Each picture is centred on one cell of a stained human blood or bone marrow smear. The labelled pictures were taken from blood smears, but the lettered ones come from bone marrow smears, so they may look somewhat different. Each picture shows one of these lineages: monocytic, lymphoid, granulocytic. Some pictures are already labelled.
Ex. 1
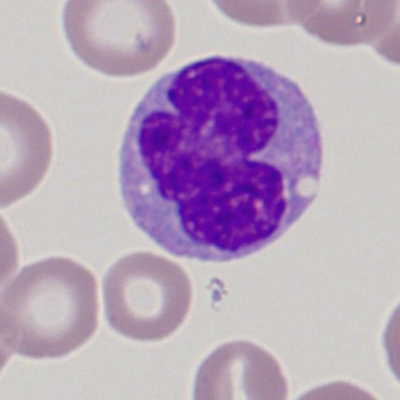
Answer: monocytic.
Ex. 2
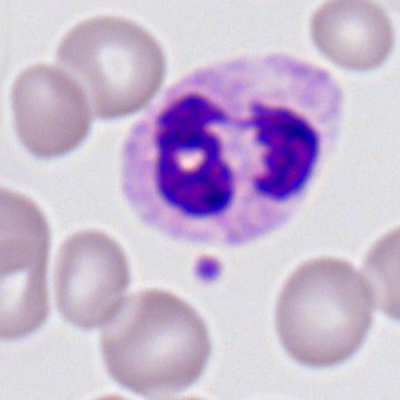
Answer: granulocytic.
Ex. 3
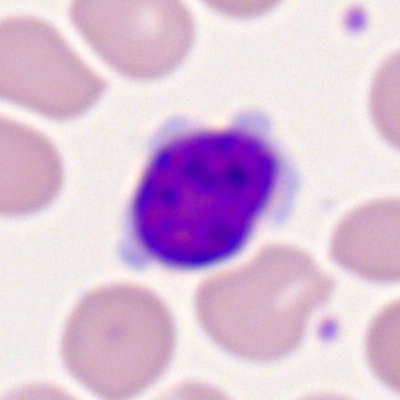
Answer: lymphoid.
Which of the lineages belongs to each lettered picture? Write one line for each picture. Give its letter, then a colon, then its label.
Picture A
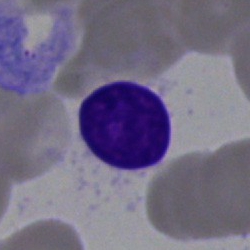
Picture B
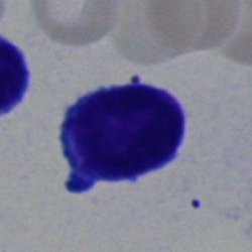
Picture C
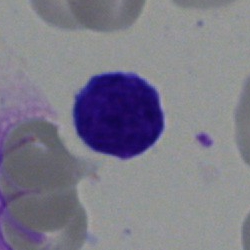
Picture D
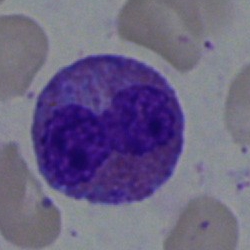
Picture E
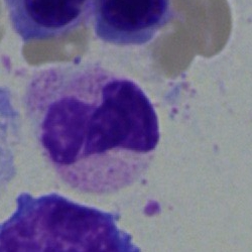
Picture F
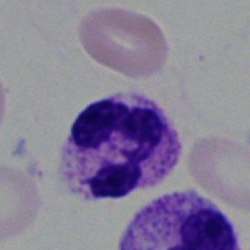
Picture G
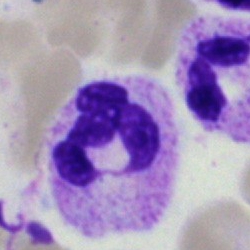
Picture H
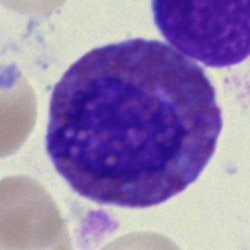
A: lymphoid.
B: lymphoid.
C: lymphoid.
D: granulocytic.
E: granulocytic.
F: granulocytic.
G: granulocytic.
H: granulocytic.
